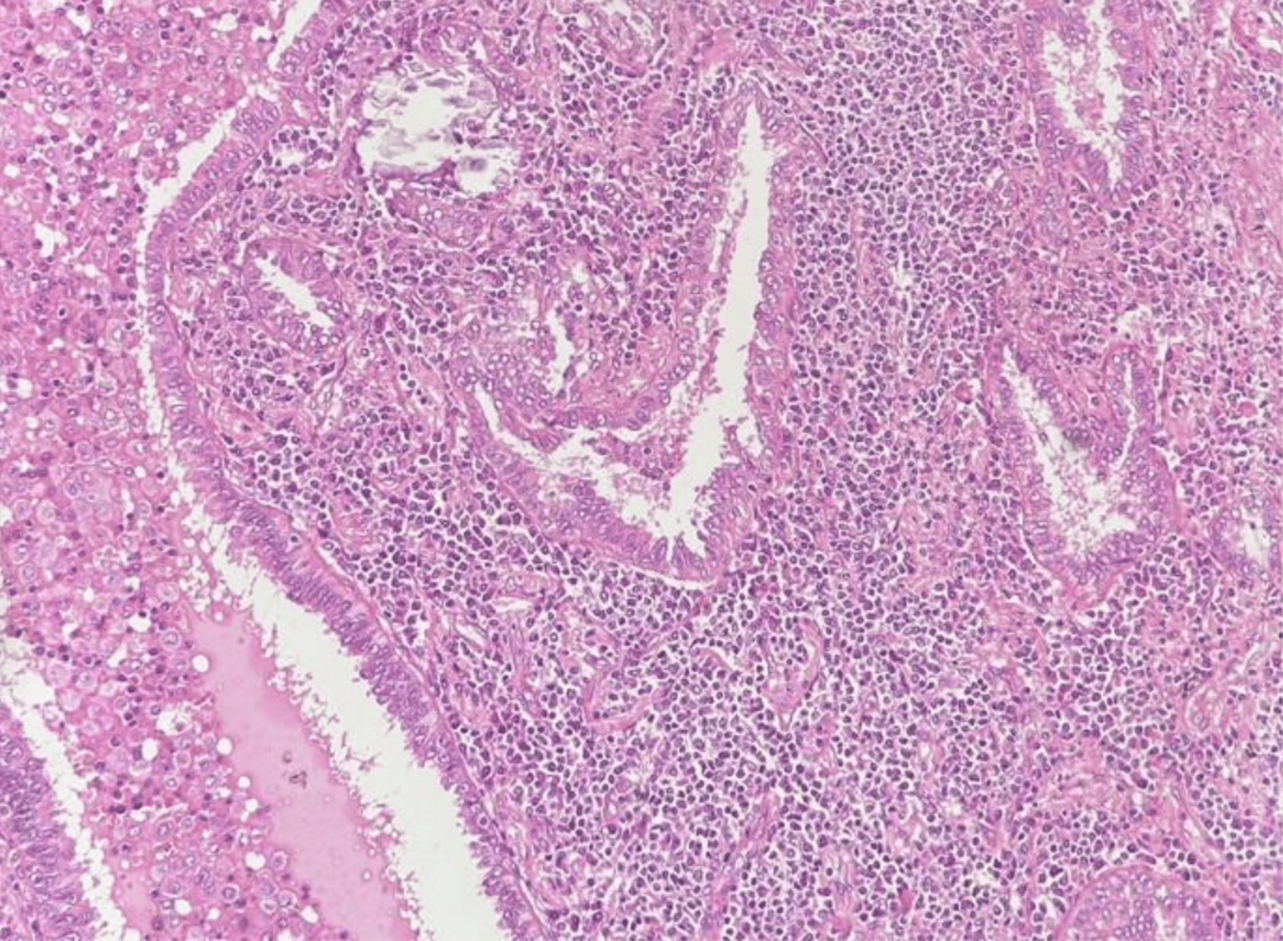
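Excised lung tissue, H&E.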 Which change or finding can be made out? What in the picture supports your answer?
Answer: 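Diffuse lymphoplasmacytic infiltration. Dense sheets of small round cells with dark round nuclei and scant cytoplasm fill the tissue between the airspaces. The infiltrate spreads across most of the field rather than forming a single small focus. The remaining airspaces are narrowed and surrounded by the cellular infiltrate.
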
